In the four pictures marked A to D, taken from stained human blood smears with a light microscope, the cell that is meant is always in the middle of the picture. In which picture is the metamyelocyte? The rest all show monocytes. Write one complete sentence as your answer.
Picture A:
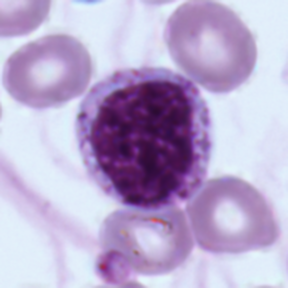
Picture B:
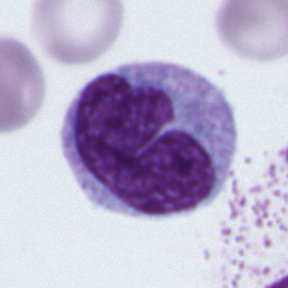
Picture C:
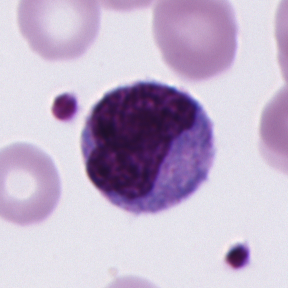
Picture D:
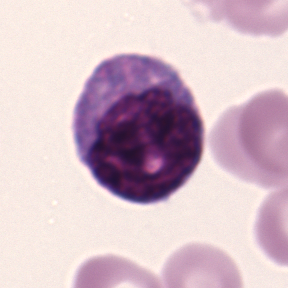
Picture A shows the metamyelocyte.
